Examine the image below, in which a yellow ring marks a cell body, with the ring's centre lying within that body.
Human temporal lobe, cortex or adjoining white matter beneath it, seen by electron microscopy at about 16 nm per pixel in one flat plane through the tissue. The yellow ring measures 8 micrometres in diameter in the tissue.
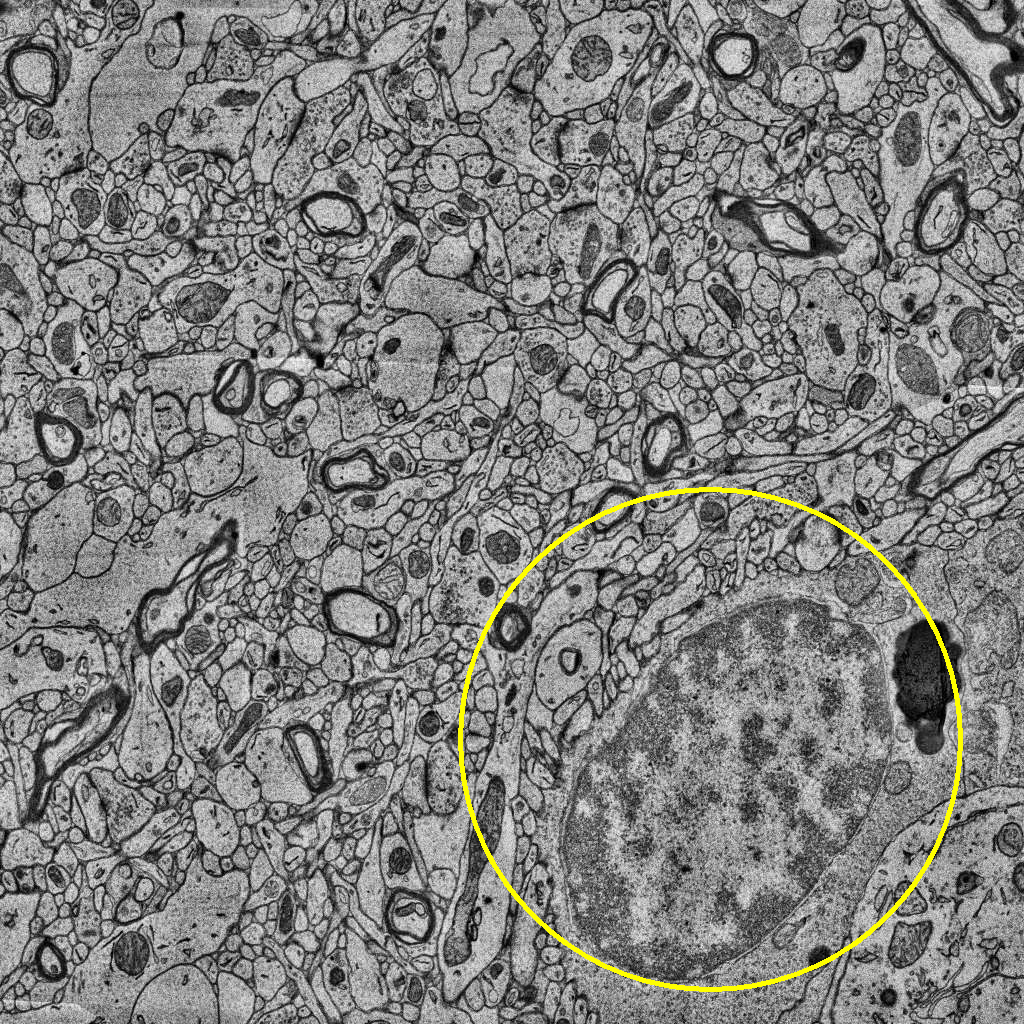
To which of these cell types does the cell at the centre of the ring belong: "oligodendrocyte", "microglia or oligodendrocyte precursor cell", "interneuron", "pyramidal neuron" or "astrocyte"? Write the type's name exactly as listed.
oligodendrocyte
